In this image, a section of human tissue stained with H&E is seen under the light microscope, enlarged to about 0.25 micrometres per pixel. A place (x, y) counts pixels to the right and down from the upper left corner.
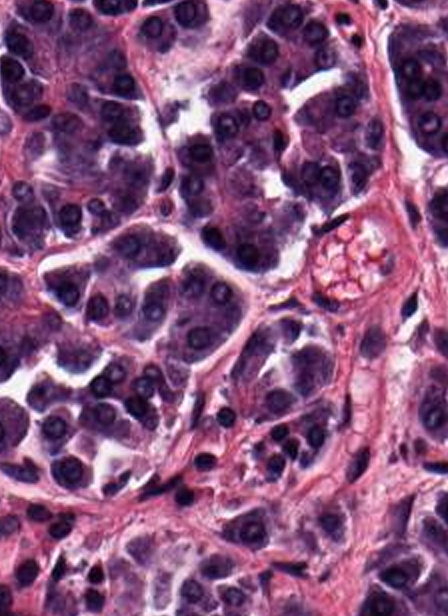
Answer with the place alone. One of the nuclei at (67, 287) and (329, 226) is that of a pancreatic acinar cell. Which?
(67, 287)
